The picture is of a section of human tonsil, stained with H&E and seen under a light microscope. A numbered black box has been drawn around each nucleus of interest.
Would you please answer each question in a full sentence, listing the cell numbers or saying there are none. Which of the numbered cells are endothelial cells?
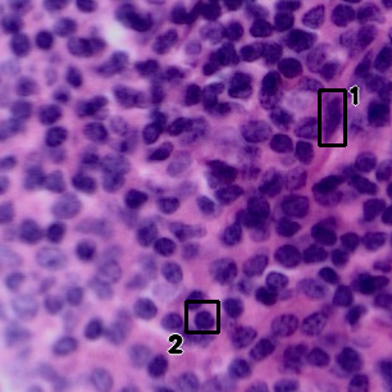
No marked cell except number 1 is an endothelial cell.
